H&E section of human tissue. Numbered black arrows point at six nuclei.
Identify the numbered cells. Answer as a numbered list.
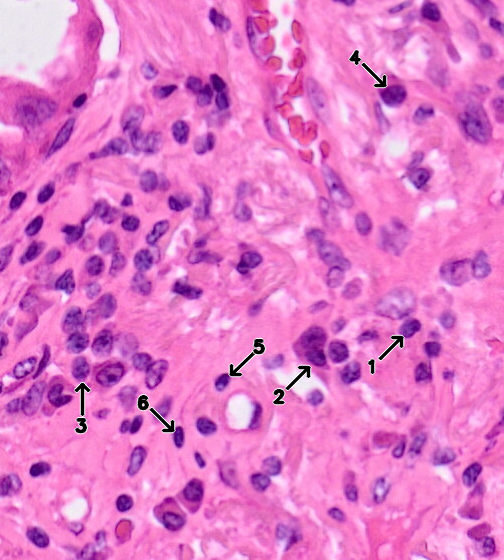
1. lymphocyte
2. plasma cell
3. lymphocyte
4. plasma cell
5. lymphocyte
6. lymphocyte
